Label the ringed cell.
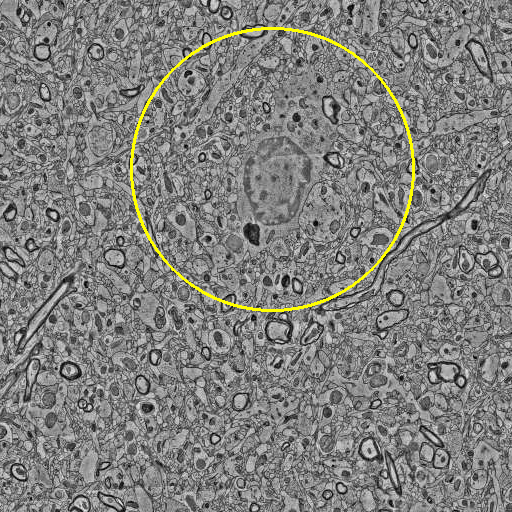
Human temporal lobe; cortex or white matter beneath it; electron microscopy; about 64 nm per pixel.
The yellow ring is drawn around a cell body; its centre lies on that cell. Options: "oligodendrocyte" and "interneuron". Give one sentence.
The ringed cell is an oligodendrocyte.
